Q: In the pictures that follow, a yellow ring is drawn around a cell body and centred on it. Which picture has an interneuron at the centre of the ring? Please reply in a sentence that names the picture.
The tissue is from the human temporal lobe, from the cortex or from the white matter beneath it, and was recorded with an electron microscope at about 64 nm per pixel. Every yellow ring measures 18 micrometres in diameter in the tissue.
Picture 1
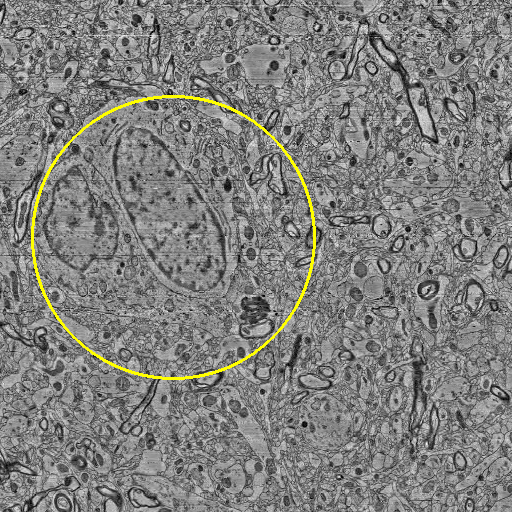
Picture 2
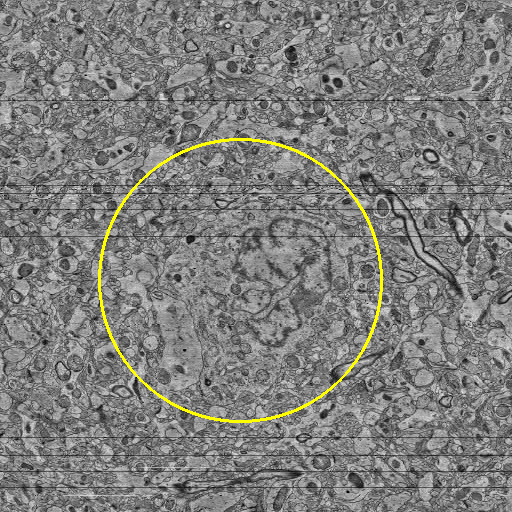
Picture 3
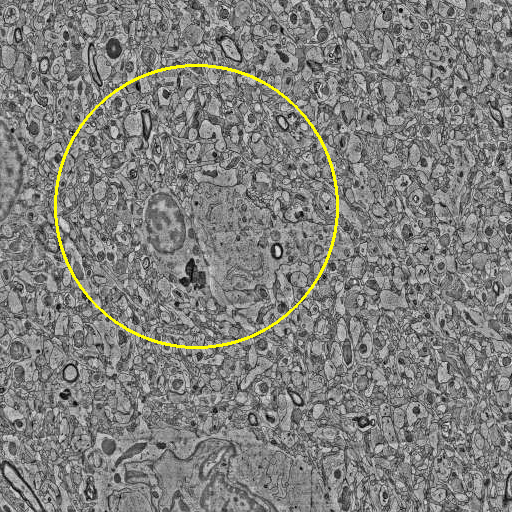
Picture 2 shows it at the centre of its ring.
